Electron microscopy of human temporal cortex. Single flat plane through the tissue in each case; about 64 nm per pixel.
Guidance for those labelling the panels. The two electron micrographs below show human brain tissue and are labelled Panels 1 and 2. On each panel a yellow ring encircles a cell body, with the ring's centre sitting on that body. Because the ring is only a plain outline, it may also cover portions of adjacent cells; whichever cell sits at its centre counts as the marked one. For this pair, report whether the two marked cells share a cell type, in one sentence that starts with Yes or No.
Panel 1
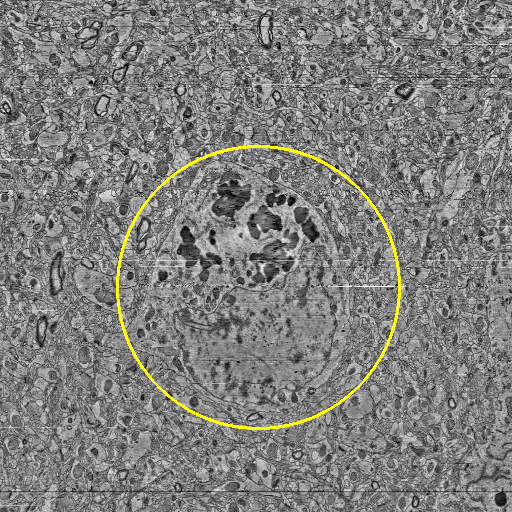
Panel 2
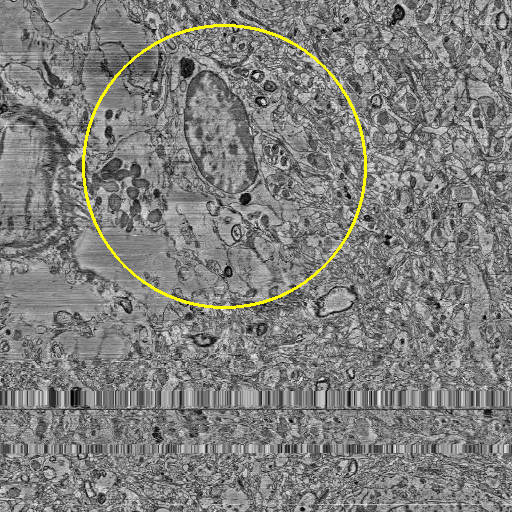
No, in Panel 1 and Panel 2 the marked cells at the ring centres are of two types.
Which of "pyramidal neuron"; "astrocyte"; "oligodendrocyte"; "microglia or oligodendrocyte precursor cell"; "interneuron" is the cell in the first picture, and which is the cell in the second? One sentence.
The two differ: the first cell is an interneuron and the second is a microglial cell or oligodendrocyte precursor cell.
